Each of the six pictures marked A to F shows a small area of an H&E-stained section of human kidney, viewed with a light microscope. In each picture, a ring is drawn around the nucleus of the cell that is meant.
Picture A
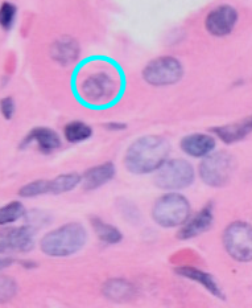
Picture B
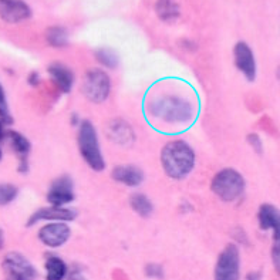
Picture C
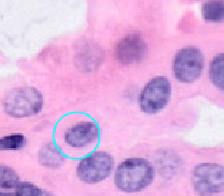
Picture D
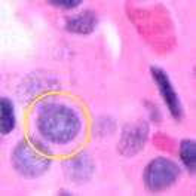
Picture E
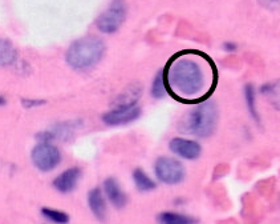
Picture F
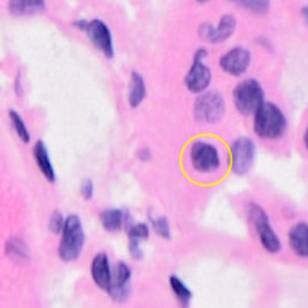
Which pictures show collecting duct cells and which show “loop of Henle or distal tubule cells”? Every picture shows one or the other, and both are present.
A: loop of Henle or distal tubule cell
B: loop of Henle or distal tubule cell
C: collecting duct cell
D: collecting duct cell
E: collecting duct cell
F: collecting duct cell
